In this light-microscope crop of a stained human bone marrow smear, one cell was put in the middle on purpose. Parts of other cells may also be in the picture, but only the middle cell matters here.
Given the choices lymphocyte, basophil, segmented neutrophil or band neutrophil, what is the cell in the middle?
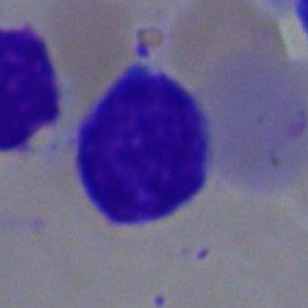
lymphocyte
